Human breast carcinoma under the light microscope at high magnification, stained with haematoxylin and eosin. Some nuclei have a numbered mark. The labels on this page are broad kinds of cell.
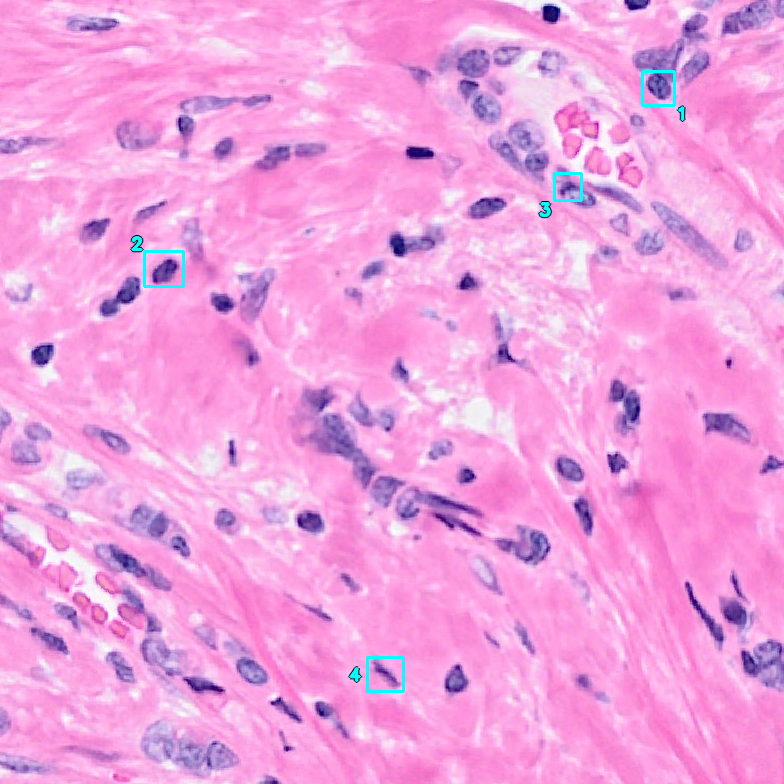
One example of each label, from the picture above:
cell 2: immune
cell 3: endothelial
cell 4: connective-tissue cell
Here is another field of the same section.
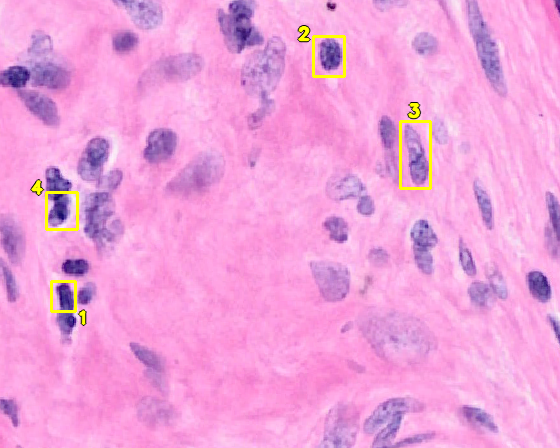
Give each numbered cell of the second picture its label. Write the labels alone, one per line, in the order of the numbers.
immune
immune
endothelial
immune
